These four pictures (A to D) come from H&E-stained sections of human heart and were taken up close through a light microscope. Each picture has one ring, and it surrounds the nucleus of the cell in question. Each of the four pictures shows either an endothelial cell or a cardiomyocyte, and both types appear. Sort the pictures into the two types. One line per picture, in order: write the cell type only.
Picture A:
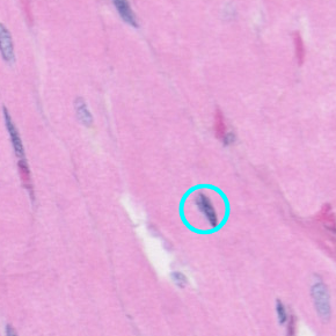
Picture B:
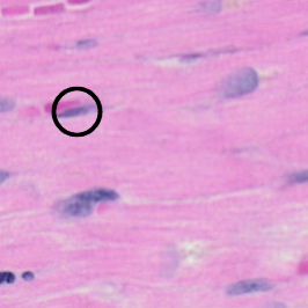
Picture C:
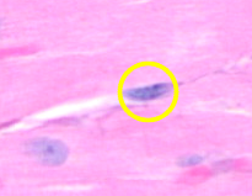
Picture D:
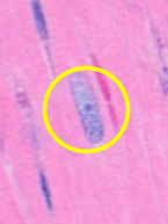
endothelial cell
endothelial cell
endothelial cell
cardiomyocyte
